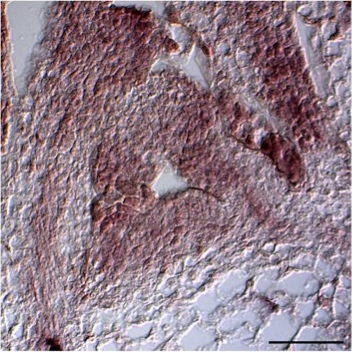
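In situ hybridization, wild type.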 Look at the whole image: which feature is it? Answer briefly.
Developing leaves primordia.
